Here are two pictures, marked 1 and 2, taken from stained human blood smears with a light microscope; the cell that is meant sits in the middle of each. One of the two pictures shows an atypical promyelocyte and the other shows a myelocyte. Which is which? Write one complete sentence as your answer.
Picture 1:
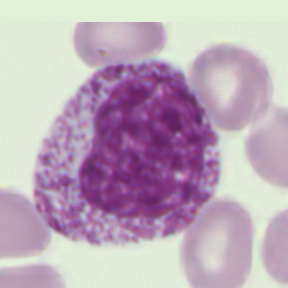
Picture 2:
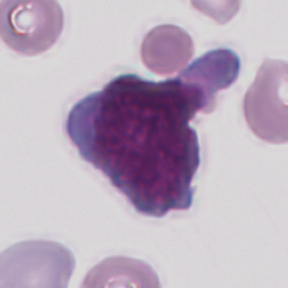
Picture 2 shows an atypical promyelocyte, while picture 1 shows a myelocyte.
